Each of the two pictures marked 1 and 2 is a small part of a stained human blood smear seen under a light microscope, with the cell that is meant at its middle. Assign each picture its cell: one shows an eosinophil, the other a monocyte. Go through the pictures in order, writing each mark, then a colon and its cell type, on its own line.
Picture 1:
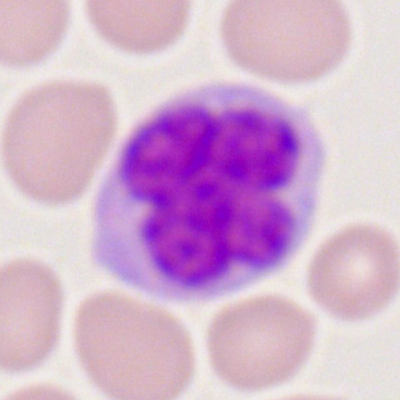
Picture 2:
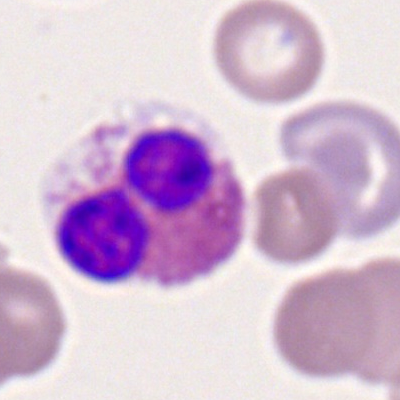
1: monocyte
2: eosinophil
